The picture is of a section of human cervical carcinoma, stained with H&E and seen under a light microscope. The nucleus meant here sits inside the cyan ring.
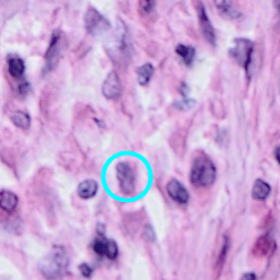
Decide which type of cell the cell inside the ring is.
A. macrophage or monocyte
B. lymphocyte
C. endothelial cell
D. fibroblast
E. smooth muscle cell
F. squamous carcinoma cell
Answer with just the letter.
A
